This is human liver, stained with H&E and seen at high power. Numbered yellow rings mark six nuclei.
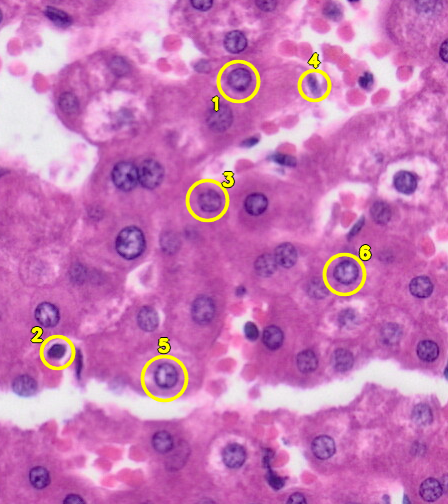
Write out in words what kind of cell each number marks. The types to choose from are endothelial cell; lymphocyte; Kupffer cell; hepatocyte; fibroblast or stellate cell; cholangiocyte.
Cells 1, 3, 5 and 6 are hepatocytes. Cell 2 is a lymphocyte. Cell 4 is a fibroblast or stellate cell.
